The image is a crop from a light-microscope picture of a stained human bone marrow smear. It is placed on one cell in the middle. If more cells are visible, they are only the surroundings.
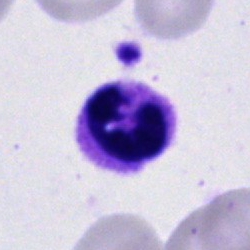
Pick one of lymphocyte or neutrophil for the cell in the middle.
neutrophil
